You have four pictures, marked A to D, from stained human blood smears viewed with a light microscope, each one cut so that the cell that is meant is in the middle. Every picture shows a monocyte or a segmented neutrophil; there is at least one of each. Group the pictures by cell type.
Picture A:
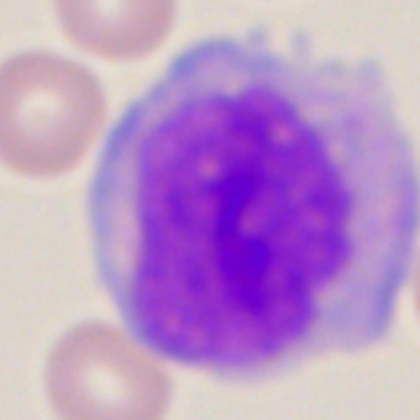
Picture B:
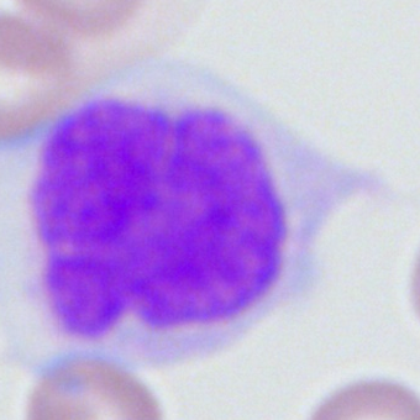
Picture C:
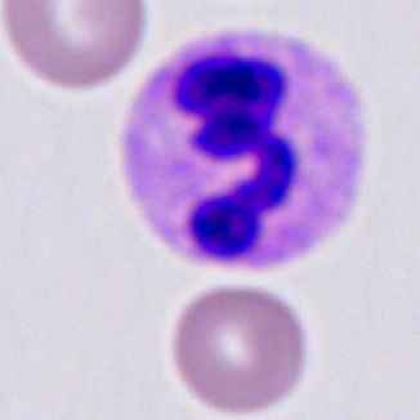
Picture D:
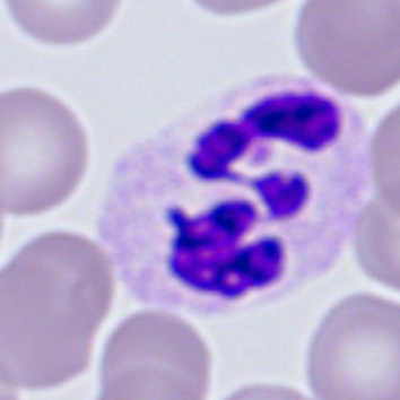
A: monocyte
B: monocyte
C: segmented neutrophil
D: segmented neutrophil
